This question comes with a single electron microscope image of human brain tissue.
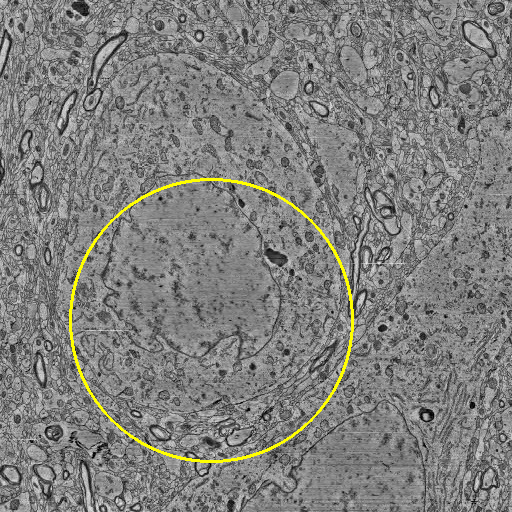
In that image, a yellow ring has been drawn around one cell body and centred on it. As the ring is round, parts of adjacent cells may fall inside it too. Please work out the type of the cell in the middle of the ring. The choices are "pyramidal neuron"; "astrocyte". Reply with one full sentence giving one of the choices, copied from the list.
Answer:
Of the choices, a pyramidal neuron is the cell sitting in the middle of the ring.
